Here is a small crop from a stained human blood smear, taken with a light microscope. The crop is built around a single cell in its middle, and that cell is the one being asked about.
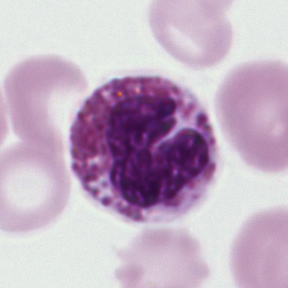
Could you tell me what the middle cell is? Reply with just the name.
eosinophil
